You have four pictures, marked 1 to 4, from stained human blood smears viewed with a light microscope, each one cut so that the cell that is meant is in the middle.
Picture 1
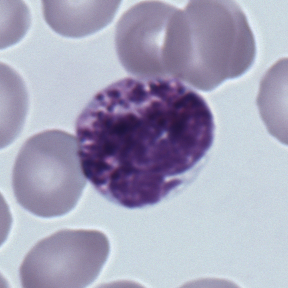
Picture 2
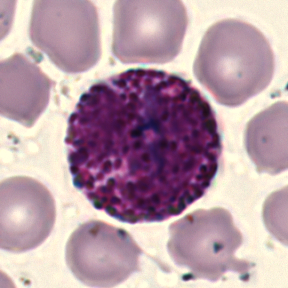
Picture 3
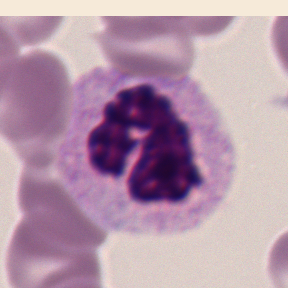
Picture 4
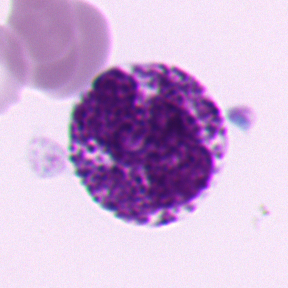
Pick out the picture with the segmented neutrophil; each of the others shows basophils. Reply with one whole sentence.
Picture 3 is the one that shows the segmented neutrophil.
